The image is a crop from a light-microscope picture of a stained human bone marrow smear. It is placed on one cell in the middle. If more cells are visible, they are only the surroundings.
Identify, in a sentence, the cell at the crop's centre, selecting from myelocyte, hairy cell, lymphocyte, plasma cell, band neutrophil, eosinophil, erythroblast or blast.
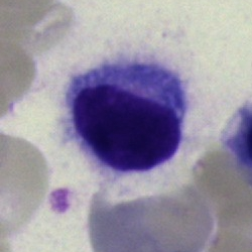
In short, the cell at the center is a hairy cell.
